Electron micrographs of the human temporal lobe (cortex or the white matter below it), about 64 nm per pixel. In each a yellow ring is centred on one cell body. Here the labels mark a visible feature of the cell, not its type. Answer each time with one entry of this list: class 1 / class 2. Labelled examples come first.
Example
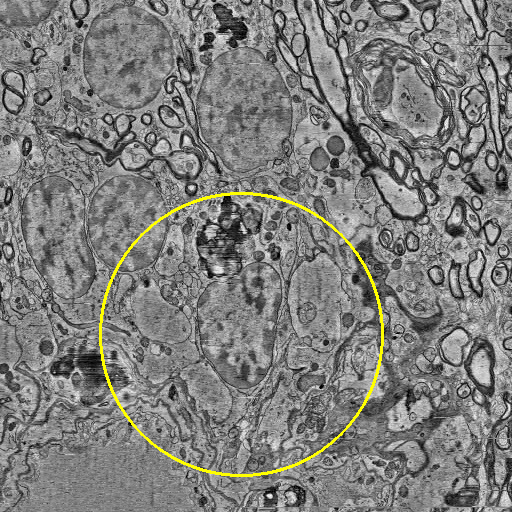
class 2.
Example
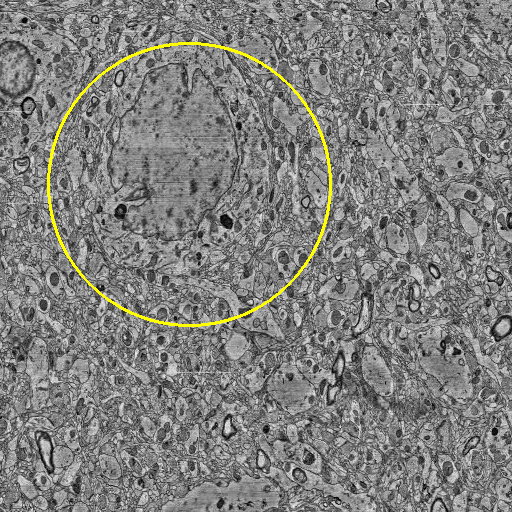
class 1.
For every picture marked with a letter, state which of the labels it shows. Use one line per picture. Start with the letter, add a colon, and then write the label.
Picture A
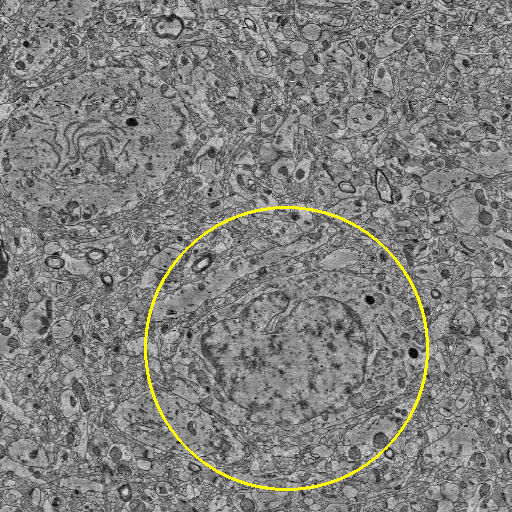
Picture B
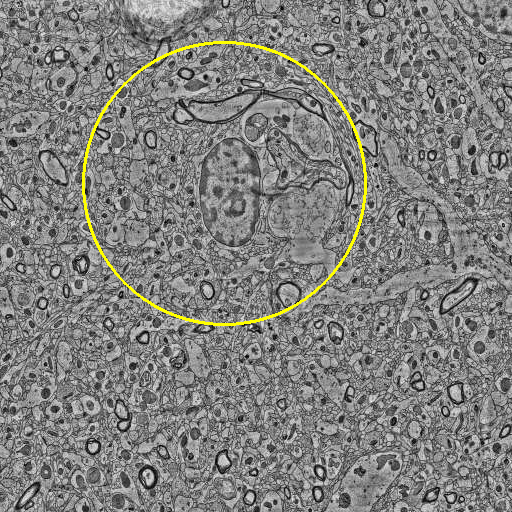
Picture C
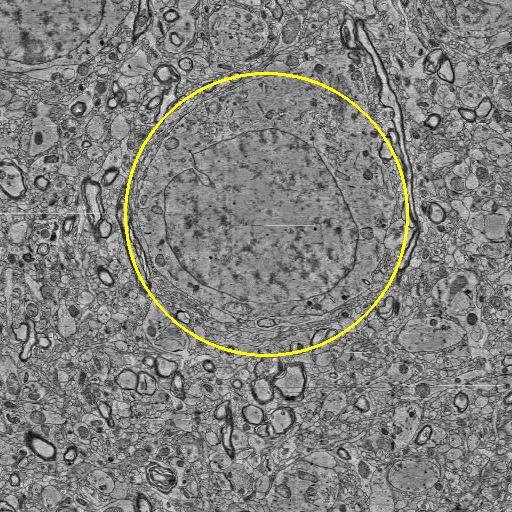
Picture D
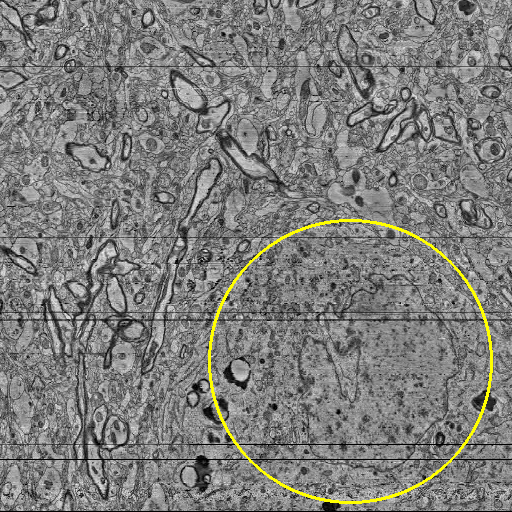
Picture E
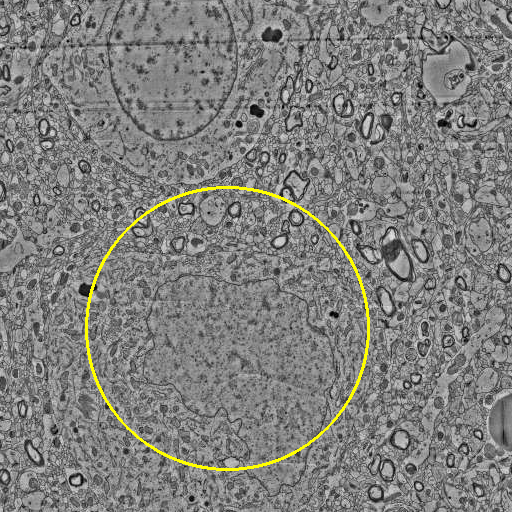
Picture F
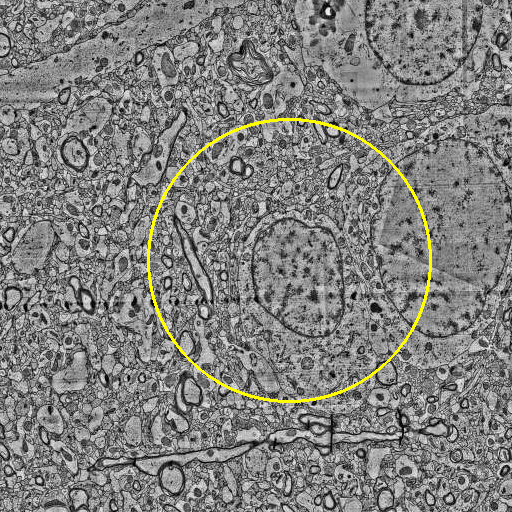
A: class 1.
B: class 2.
C: class 1.
D: class 1.
E: class 1.
F: class 2.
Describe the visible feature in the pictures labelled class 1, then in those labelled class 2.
class 1: deeply folded or indented nuclear envelopes; class 2: smooth nuclear envelopes without deep folds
